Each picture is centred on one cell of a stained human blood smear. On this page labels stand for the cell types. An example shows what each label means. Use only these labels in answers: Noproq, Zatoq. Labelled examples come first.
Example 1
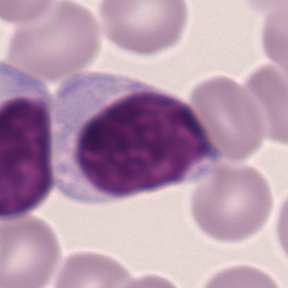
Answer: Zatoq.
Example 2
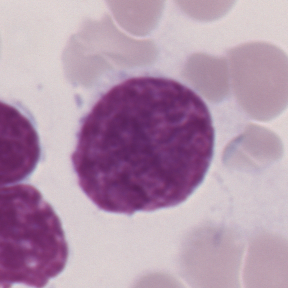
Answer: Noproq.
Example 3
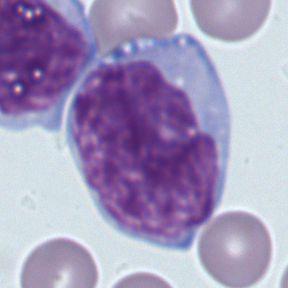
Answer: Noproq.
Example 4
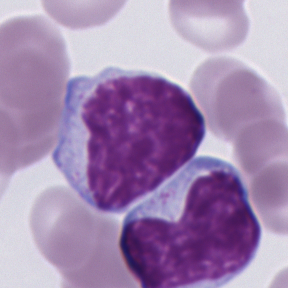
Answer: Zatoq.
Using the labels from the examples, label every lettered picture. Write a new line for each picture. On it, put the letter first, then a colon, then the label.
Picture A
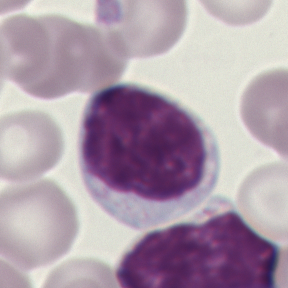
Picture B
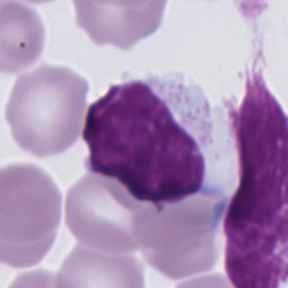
A: Zatoq.
B: Zatoq.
